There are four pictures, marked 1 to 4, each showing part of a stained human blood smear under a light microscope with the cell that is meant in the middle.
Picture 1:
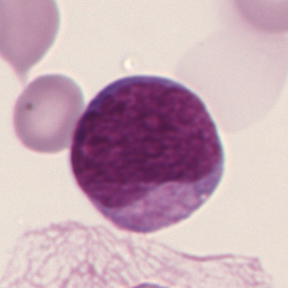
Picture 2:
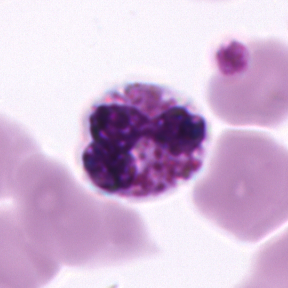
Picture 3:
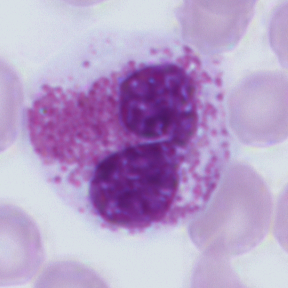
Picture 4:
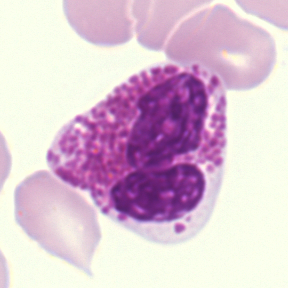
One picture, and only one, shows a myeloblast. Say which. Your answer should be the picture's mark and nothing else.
1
